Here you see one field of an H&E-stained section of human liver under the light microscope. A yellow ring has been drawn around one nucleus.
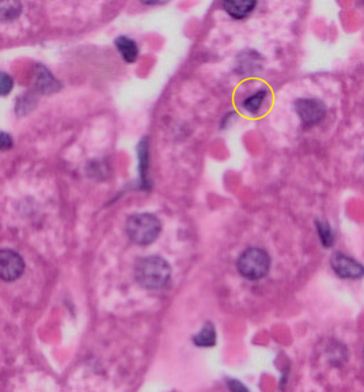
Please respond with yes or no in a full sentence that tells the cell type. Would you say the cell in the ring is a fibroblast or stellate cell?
Yes, the cell in the ring is one that is classed as a fibroblast or stellate cell.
